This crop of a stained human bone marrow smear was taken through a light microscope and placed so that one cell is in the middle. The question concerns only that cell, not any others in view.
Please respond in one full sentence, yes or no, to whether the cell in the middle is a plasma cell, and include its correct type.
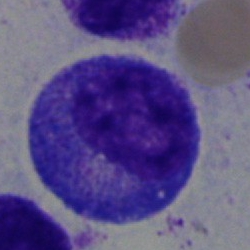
No, this cell in the middle is a promyelocyte, so it is not a plasma cell.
